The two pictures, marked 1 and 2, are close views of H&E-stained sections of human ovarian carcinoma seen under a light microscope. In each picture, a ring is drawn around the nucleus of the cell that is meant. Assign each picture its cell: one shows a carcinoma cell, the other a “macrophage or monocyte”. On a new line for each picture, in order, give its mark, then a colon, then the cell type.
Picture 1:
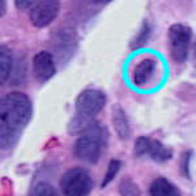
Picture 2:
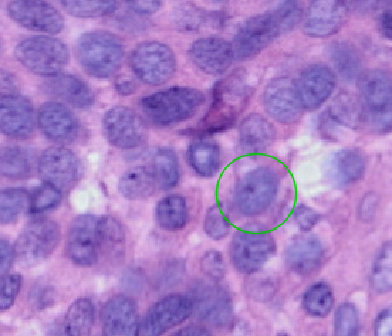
1: macrophage or monocyte
2: carcinoma cell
